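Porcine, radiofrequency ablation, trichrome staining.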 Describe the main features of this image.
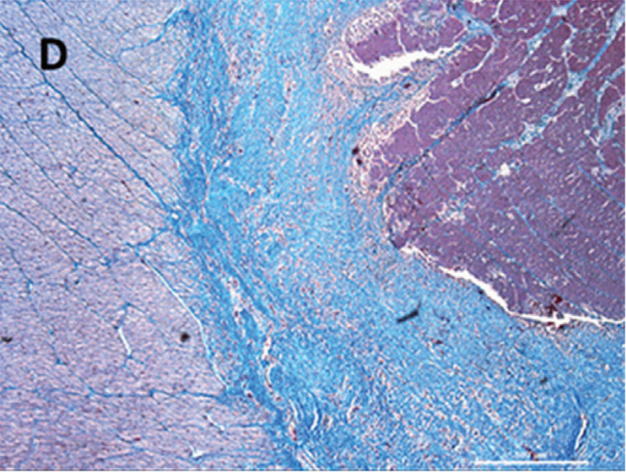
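Heart muscle tissue with a broad band of blue-stained fibrous material running diagonally between two areas of purple-stained muscle. The muscle at left is paler purple, that at right a darker purple, separated from the band by a cleft.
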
